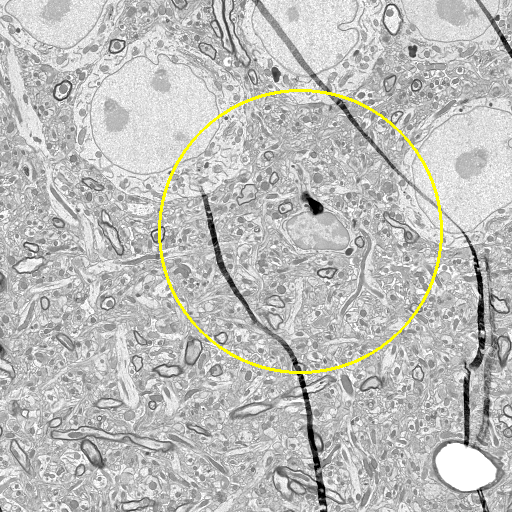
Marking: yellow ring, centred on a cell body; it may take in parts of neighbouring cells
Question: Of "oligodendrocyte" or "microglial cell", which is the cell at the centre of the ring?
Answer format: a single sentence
The ring surrounds the body of a microglial cell.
